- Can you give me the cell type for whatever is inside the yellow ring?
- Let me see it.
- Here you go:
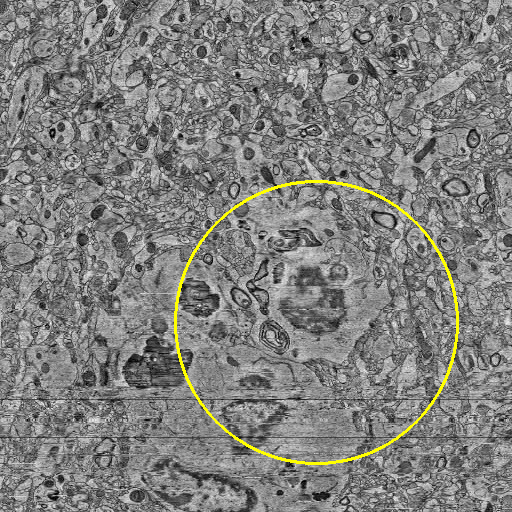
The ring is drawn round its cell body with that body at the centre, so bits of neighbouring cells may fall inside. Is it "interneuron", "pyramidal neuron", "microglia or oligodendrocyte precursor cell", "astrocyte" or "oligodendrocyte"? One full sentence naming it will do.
The cell body in the middle of the ring in this picture belongs to an astrocyte.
